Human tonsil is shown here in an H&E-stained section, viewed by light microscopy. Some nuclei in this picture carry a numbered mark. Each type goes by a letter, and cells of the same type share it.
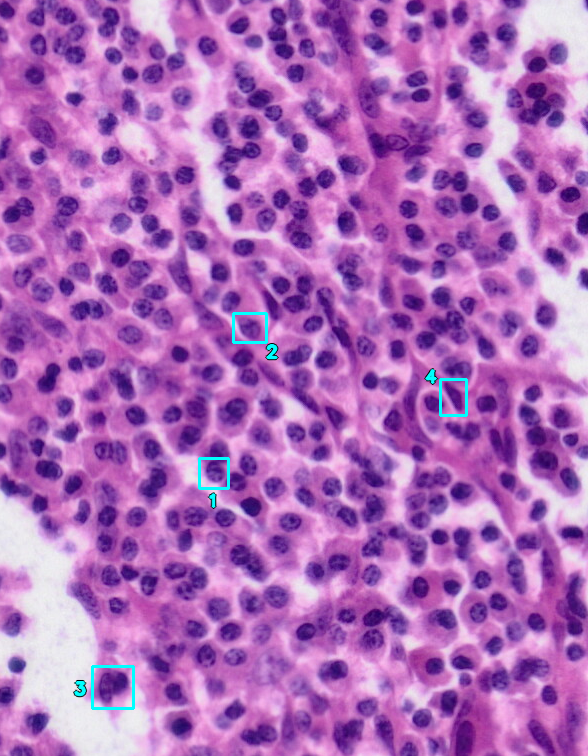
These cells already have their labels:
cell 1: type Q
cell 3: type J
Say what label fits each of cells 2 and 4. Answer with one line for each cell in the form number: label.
2: type Q
4: type J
